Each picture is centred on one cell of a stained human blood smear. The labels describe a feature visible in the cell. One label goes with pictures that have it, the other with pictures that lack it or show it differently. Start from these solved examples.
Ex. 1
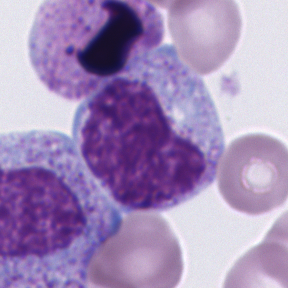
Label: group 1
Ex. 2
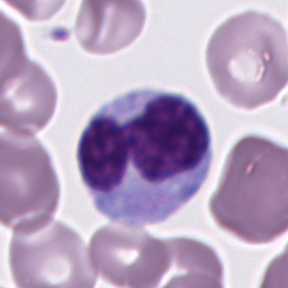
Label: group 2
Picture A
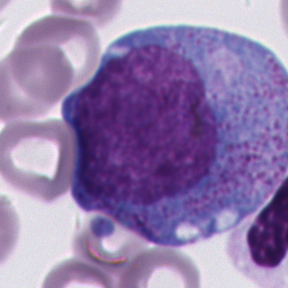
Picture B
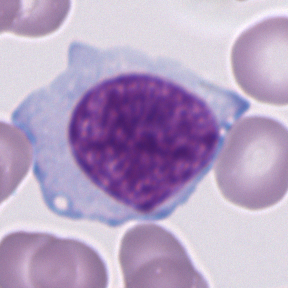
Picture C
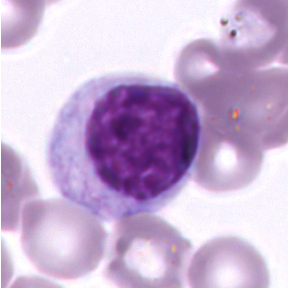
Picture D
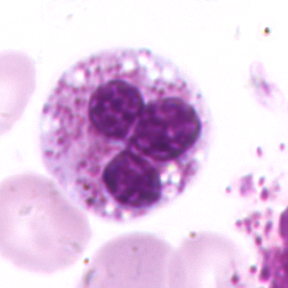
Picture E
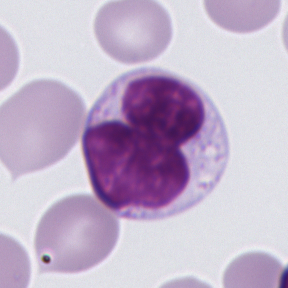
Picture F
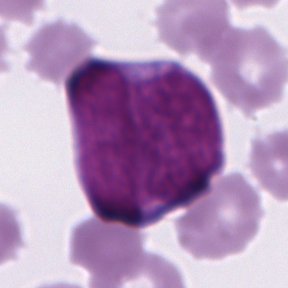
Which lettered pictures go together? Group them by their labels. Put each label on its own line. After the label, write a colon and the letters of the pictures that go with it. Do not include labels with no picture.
group 1: A, B, D, E
group 2: C, F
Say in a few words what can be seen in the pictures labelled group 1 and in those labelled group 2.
Seen in group 1: vacuoles present; seen in group 2: no vacuoles.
